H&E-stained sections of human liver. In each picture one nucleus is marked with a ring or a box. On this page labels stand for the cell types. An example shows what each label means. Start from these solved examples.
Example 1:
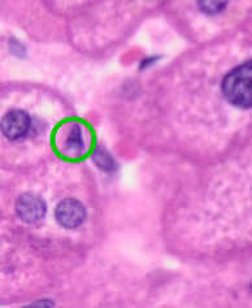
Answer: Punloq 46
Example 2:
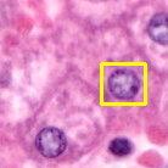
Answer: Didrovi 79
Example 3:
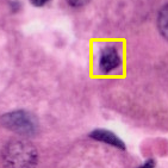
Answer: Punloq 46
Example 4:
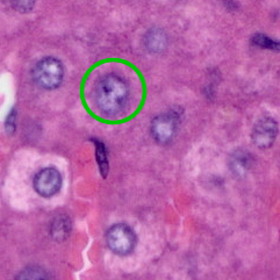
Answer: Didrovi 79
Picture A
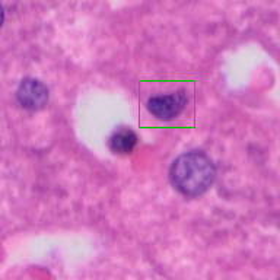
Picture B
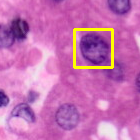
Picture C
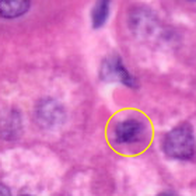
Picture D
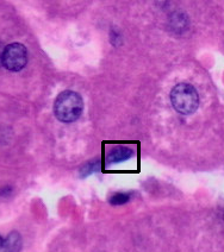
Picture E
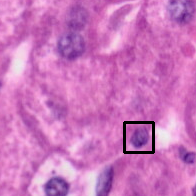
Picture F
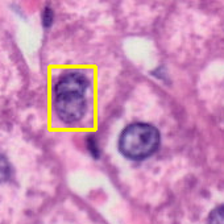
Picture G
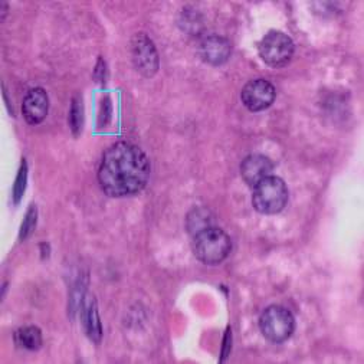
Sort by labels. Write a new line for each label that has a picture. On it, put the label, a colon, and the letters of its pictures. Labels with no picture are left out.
Punloq 46: A, C, D, E, G
Didrovi 79: B, F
